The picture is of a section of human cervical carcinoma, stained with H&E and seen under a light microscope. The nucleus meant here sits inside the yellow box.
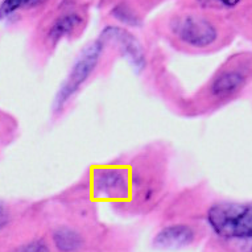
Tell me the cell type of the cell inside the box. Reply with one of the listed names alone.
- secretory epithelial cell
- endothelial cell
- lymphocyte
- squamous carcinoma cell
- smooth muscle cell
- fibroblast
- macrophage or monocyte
squamous carcinoma cell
